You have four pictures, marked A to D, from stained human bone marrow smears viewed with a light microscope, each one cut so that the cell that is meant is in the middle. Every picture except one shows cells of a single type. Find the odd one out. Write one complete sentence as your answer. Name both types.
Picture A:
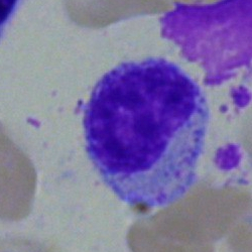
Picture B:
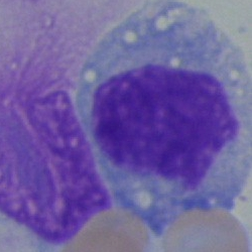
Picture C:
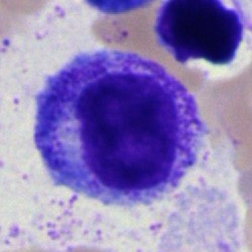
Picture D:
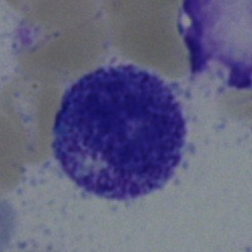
All pictures except B show myelocytes; picture B shows a blast.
